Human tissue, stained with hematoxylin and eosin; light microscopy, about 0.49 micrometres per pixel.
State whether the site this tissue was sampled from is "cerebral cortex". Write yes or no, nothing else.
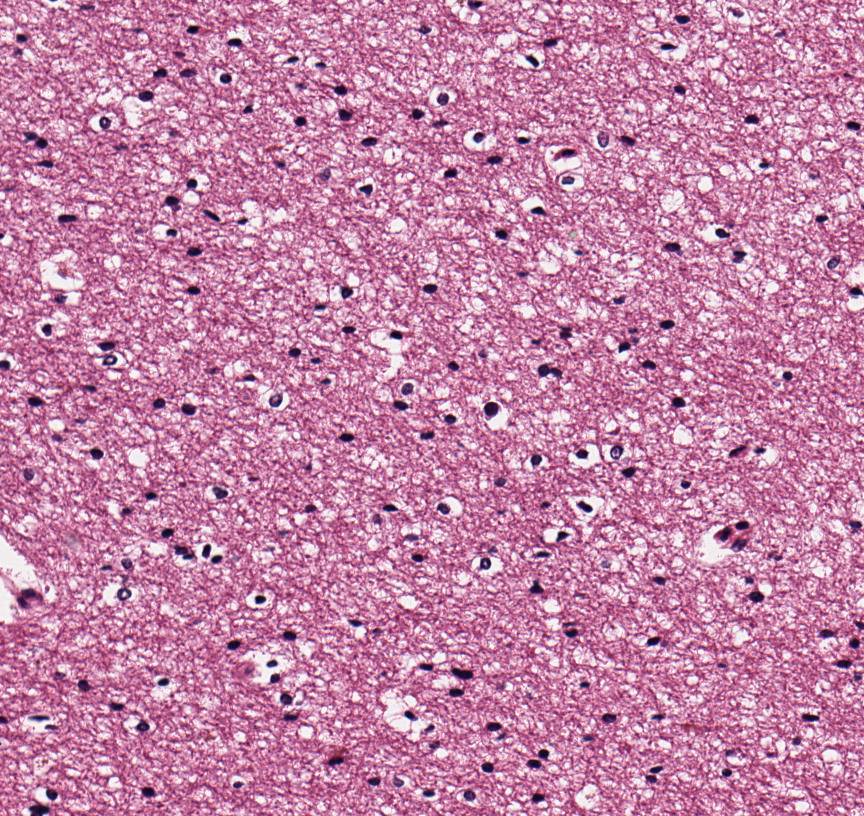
yes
